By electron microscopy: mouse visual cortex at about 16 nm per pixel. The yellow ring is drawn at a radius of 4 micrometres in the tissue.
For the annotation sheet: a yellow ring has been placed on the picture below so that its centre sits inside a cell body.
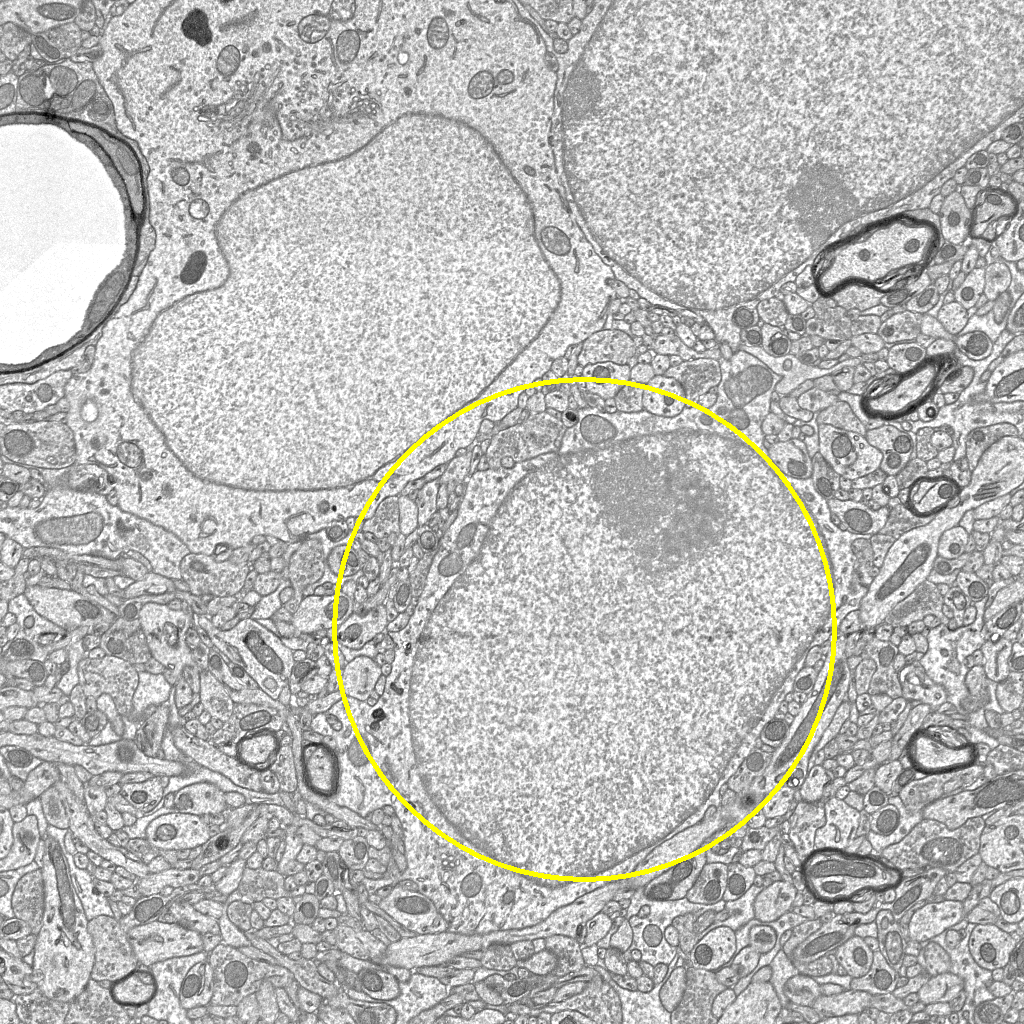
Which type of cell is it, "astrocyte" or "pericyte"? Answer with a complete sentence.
The cell at the ring's centre is an astrocyte.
